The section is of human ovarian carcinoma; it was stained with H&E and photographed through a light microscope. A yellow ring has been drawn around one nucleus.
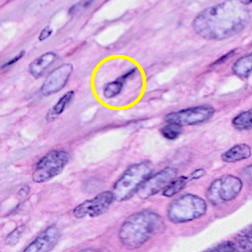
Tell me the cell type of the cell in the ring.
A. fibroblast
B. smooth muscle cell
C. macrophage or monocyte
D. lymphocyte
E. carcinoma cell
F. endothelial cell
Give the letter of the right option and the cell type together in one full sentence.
In short, option C: the cell in the ring is a macrophage or monocyte.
